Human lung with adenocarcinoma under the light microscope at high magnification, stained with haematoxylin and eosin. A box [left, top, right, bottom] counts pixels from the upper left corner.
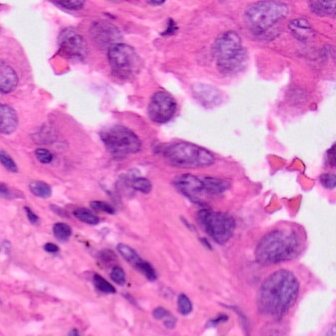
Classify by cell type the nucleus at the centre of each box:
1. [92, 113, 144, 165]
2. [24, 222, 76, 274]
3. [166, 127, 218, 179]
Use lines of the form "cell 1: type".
cell 1: carcinoma cell
cell 2: lymphocyte
cell 3: carcinoma cell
